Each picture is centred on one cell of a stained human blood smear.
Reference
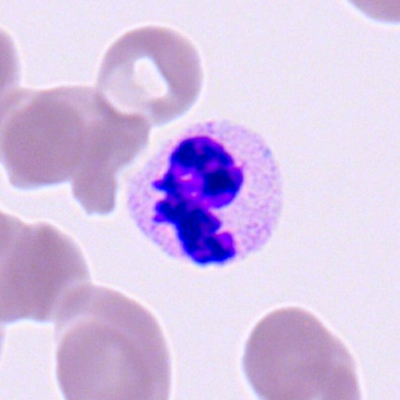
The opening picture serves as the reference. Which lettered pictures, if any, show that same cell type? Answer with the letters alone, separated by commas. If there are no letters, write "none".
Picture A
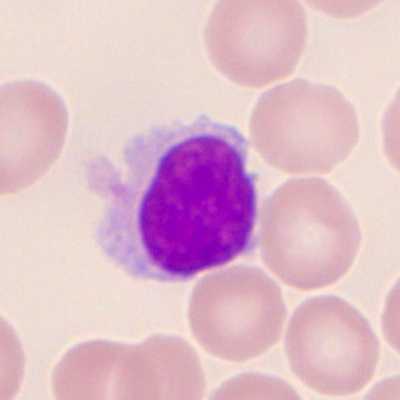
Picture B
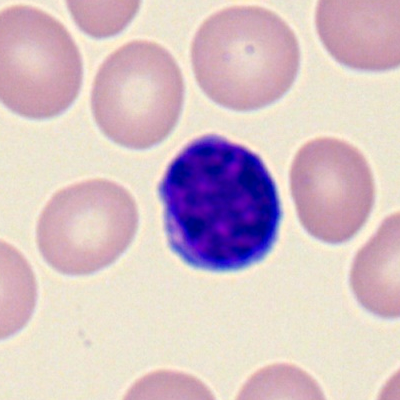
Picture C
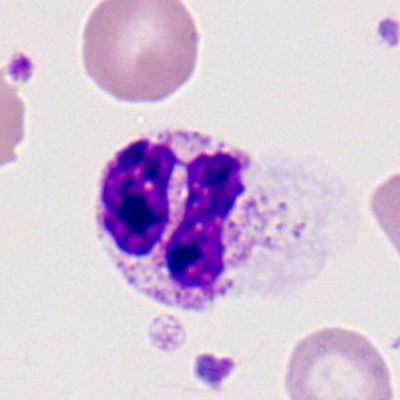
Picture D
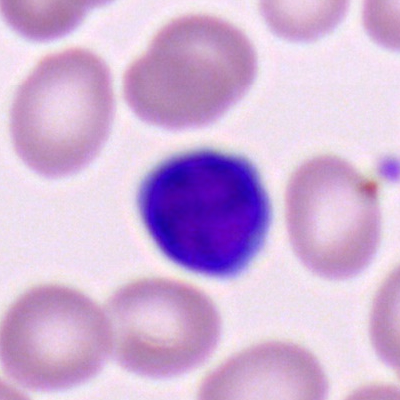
C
